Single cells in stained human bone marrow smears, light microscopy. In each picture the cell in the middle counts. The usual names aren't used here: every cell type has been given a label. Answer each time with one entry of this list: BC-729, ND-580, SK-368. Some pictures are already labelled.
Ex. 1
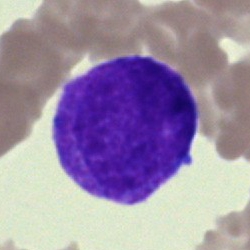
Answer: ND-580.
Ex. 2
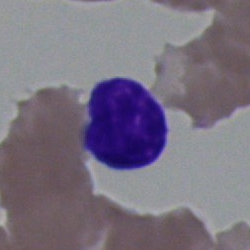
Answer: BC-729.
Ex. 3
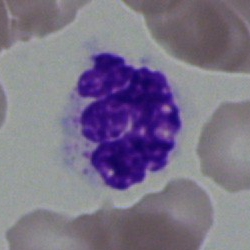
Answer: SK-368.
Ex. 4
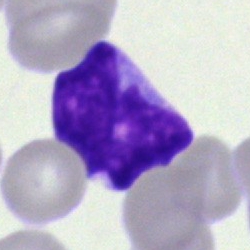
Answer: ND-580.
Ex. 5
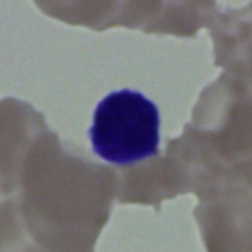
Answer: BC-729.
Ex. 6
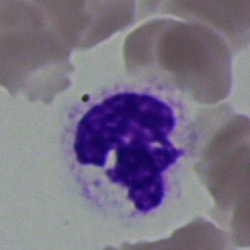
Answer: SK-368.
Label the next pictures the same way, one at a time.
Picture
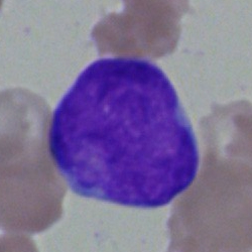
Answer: ND-580.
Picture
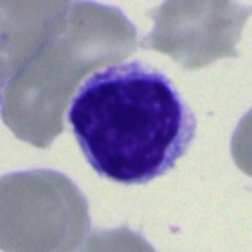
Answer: BC-729.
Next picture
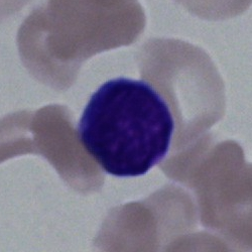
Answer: BC-729.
